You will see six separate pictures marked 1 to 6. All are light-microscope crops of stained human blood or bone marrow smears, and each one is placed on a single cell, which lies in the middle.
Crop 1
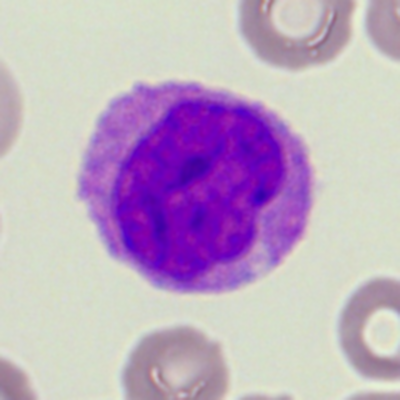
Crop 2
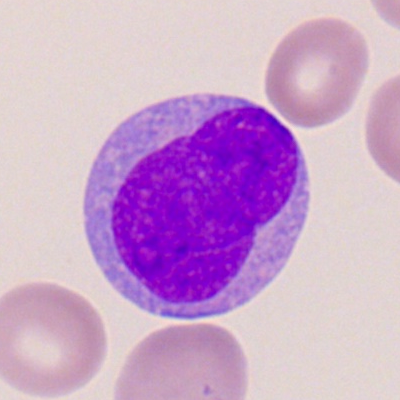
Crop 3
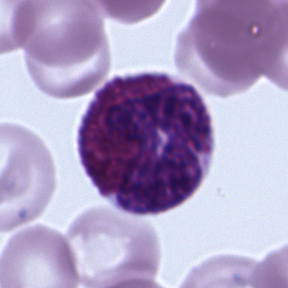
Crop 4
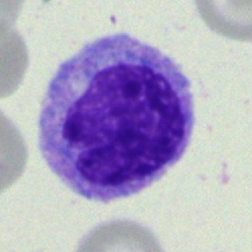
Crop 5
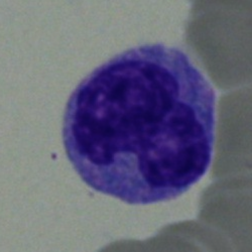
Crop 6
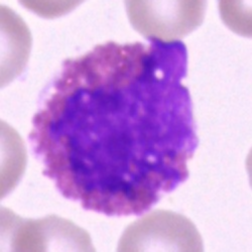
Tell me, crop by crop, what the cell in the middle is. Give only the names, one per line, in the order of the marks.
monocyte
blast
eosinophil
monocyte
monocyte
eosinophil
